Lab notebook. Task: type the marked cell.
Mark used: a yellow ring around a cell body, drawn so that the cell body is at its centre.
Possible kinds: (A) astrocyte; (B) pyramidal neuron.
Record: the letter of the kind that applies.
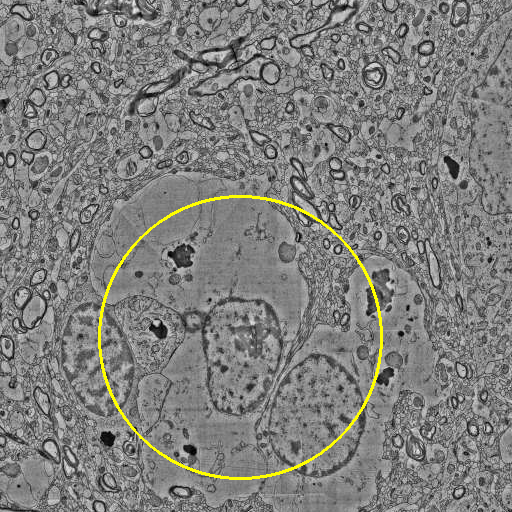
A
